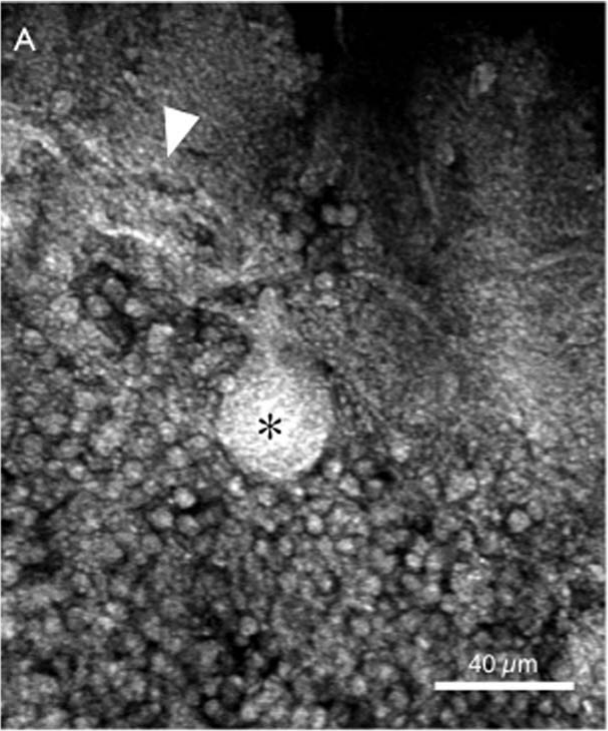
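The lower part is crowded with many small, round, bright granules of similar size, packed closely side by side. In the middle sits one much larger, bright, flask-shaped cell body, with a tapering process rising from its upper pole. Above it, the tissue changes to a finer, more uniform, fibrillar texture with faint streaks, where the cell's branching dendrites would run. The upper right is darker and less sharply resolved.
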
